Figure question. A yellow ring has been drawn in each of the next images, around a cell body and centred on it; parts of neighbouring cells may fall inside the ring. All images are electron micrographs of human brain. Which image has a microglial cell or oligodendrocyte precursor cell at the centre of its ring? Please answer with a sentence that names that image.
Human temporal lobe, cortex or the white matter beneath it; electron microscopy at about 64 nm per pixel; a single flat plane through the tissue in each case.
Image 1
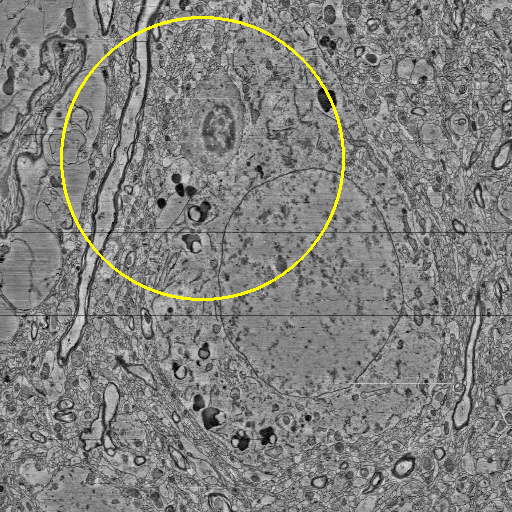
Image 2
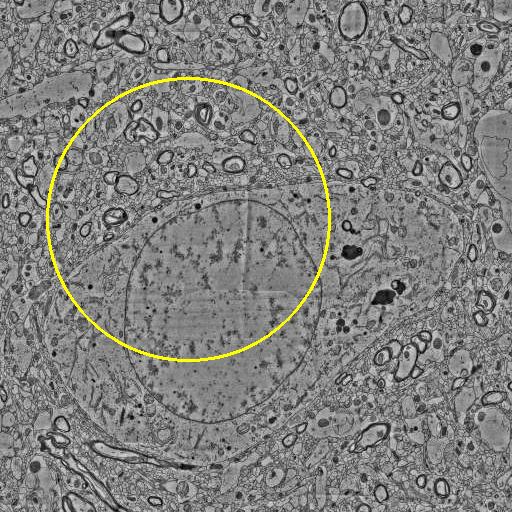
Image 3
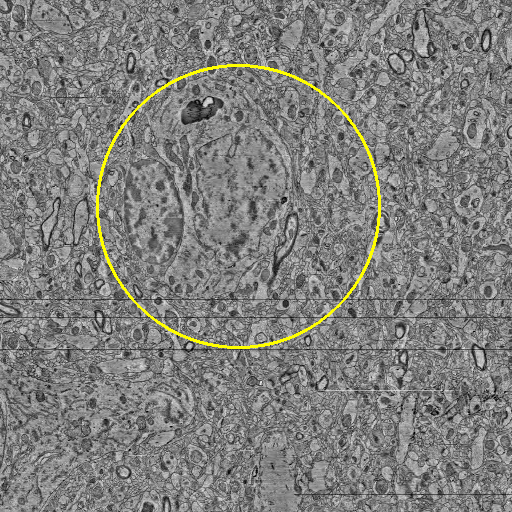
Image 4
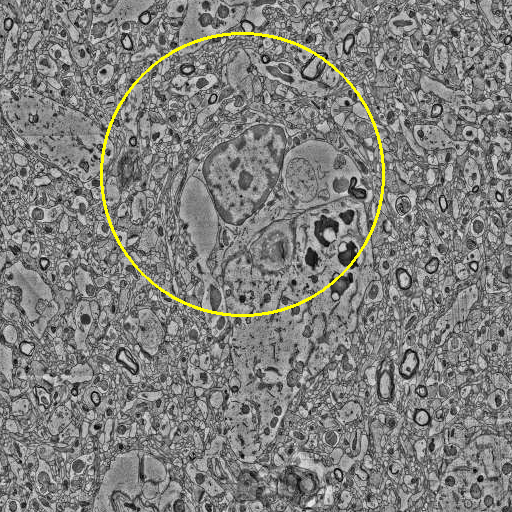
The cell at the centre of the ring in Image 4 is of that kind.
